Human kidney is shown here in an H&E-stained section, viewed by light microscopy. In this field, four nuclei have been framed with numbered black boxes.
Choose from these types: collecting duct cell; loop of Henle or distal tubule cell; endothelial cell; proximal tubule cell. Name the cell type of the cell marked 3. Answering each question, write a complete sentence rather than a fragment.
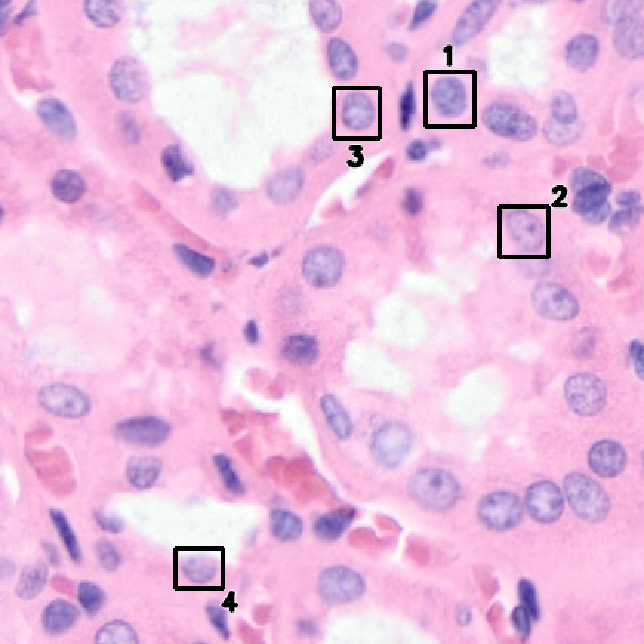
The cell marked with the number 3 is a loop of Henle or distal tubule cell.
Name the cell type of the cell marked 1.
Cell 1 is classified as a collecting duct cell.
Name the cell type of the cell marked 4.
Cell 4, among those numbered, is a loop of Henle or distal tubule cell.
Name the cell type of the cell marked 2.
Looking at the numbered marks, cell 2 is a proximal tubule cell.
